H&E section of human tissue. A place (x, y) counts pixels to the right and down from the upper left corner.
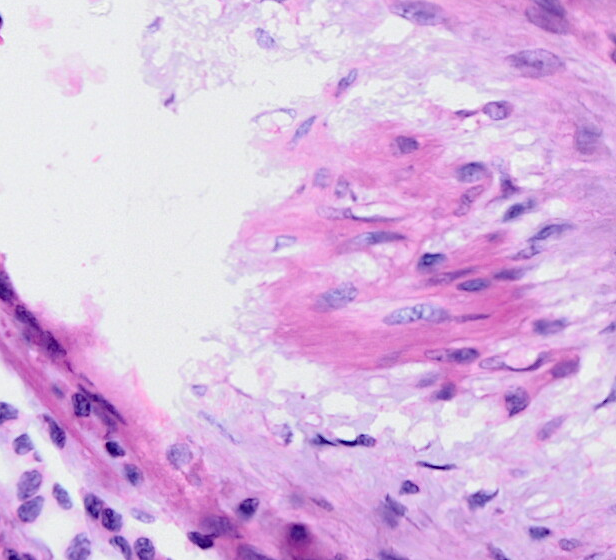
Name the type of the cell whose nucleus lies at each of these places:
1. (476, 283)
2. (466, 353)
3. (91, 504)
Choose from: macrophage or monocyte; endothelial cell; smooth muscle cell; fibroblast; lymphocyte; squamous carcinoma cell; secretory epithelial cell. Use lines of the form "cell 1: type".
cell 1: smooth muscle cell
cell 2: smooth muscle cell
cell 3: lymphocyte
